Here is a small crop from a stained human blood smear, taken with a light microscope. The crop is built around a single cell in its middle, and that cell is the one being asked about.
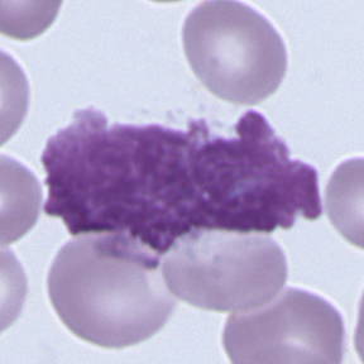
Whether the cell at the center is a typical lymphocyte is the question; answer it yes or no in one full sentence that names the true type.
No, the central cell is a smudge cell; it should not be labelled a typical lymphocyte.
